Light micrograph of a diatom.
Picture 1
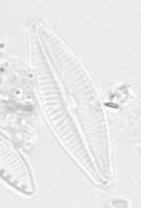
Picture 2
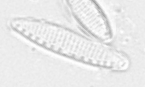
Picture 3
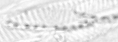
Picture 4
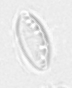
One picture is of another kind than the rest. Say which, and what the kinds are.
Picture 1 shows Navicula; the rest show Nitzschia.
